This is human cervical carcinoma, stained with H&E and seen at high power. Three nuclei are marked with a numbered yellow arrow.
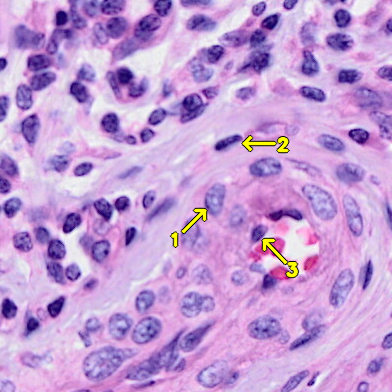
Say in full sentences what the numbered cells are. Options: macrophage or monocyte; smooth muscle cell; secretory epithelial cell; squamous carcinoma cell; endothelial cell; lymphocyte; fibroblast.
Cell 1 is a smooth muscle cell, cell 2 is a lymphocyte and cell 3 is an endothelial cell.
